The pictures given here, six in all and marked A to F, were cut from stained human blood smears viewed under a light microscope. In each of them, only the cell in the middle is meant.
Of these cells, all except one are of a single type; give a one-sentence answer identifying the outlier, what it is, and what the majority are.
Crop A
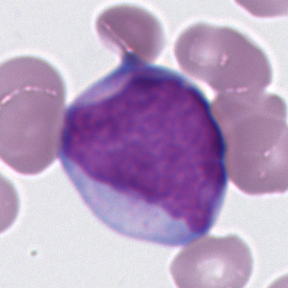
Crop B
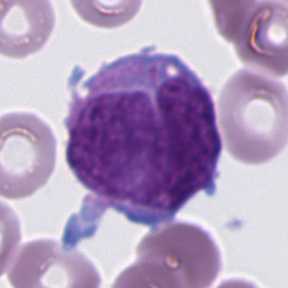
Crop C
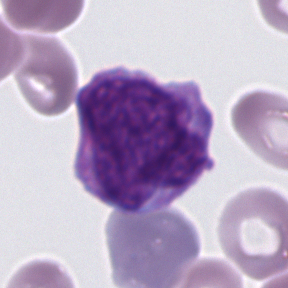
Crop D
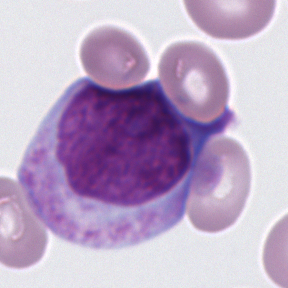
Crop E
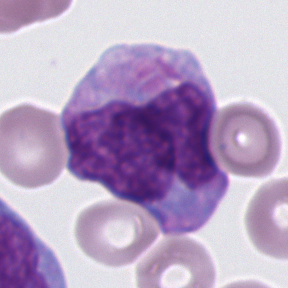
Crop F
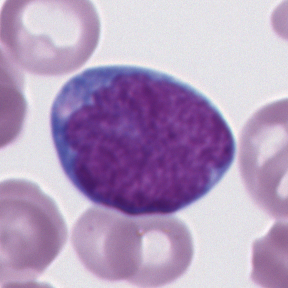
Among these crops, atypical promyelocytes occur in all but crop F, which contains a myeloblast.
